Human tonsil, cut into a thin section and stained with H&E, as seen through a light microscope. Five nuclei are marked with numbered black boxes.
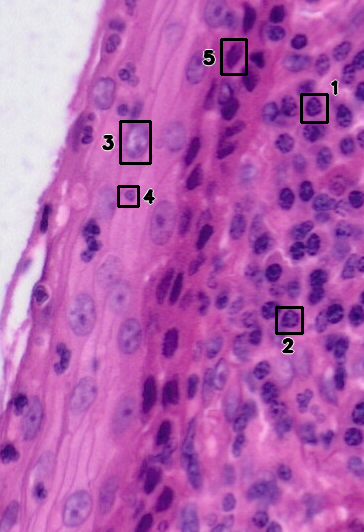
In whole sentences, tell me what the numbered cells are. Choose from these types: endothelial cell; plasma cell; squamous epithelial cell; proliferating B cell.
Cell 1 is a plasma cell, cell 2 is a plasma cell, cell 3 is a squamous epithelial cell, cell 4 is a squamous epithelial cell and cell 5 is a squamous epithelial cell.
